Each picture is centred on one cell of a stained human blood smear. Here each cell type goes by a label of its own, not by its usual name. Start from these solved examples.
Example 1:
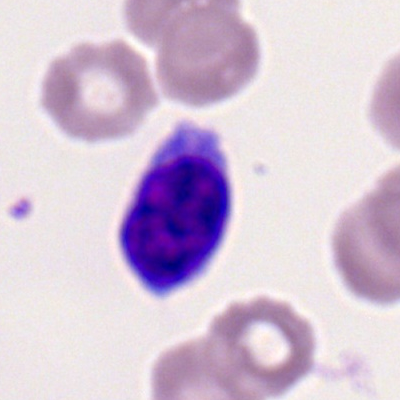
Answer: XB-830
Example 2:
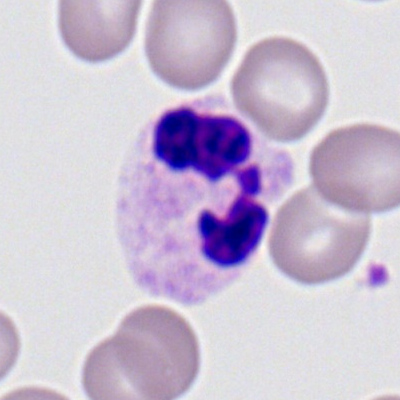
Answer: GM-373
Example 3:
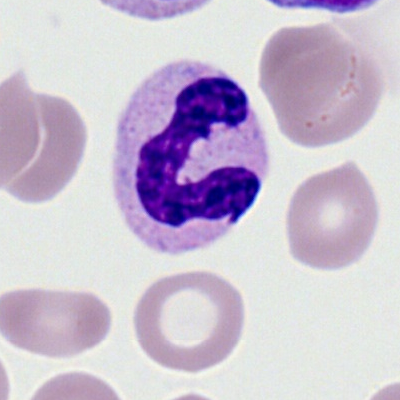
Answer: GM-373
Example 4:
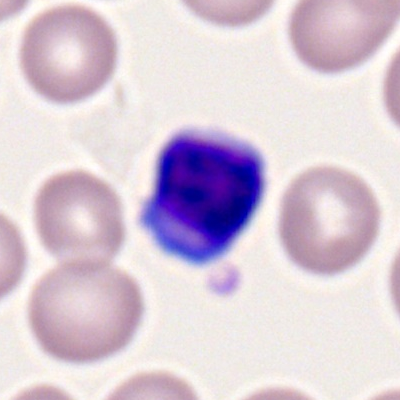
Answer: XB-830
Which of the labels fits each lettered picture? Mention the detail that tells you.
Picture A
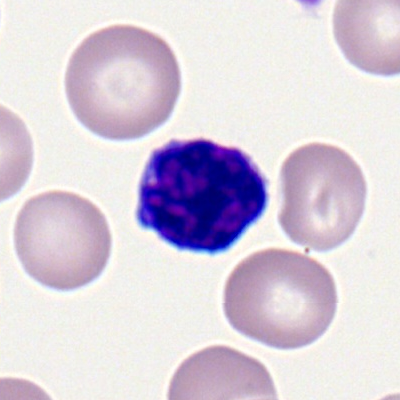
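Label: XB-830. The nucleus fills almost the whole cell, leaving only a very thin rim of cytoplasm.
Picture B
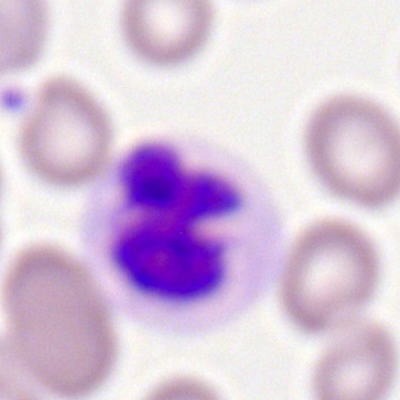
Label: GM-373. The cytoplasm is plentiful and pale lilac-pink.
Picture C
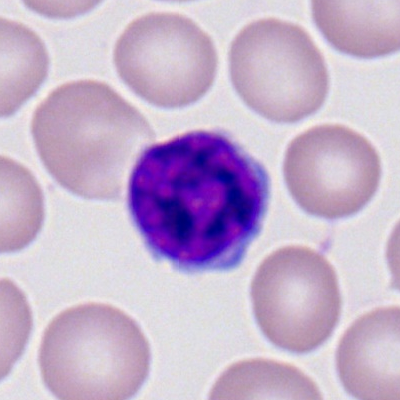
Label: XB-830. The cytoplasm is only a thin rim around the nucleus.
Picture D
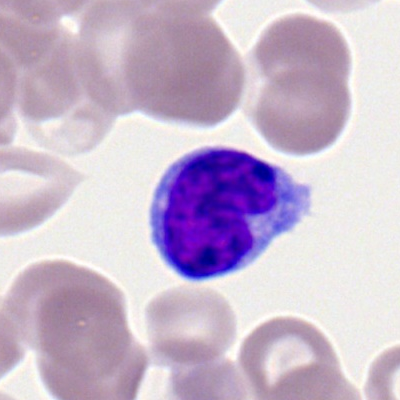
Label: XB-830. The nucleus fills most of the cell.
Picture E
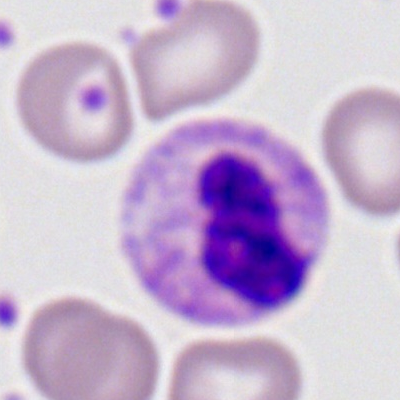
Label: GM-373. The cytoplasm is abundant, taking up more than half of the cell.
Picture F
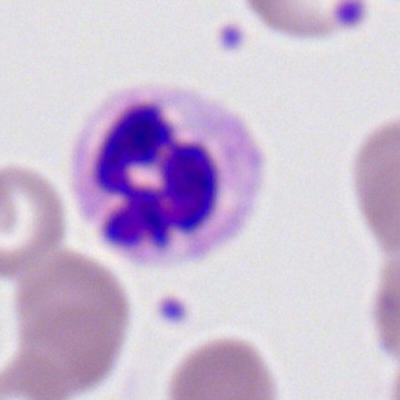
Label: GM-373. The cytoplasm is plentiful and pale pinkish-lilac.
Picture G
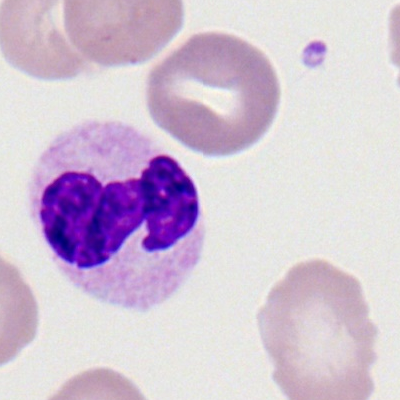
Label: GM-373. The nucleus is divided into three lobes.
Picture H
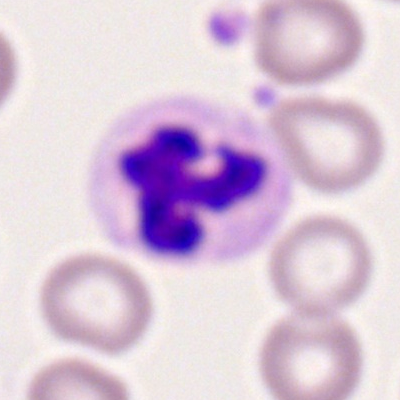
Label: GM-373. The cytoplasm is abundant and pale pinkish-lilac.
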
